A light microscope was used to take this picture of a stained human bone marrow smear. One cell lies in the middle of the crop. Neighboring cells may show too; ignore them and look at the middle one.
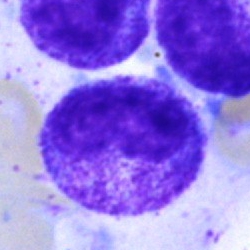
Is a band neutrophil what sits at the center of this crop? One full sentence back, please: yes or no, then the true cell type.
No, the cell placed in the centre is a metamyelocyte and is not a band neutrophil.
